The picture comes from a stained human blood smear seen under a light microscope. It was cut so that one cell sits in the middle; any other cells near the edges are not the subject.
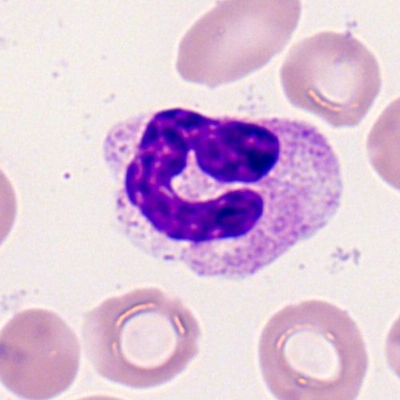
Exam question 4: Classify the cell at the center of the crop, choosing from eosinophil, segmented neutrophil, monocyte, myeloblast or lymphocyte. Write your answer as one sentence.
In the central position of this crop, the cell is a segmented neutrophil.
